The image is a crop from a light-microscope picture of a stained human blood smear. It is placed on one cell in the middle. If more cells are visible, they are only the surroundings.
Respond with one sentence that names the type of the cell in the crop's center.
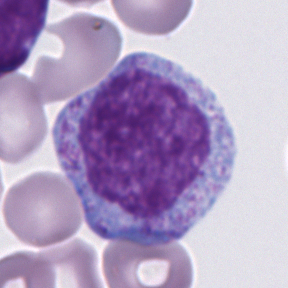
Of the cells in this crop, the central one is a promyelocyte.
